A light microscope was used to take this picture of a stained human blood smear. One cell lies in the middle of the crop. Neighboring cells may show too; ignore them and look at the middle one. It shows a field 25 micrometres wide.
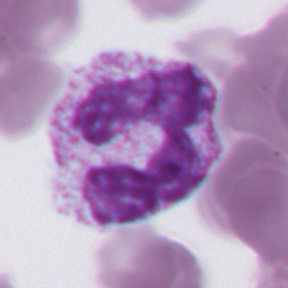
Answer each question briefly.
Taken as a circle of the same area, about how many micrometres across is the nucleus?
11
